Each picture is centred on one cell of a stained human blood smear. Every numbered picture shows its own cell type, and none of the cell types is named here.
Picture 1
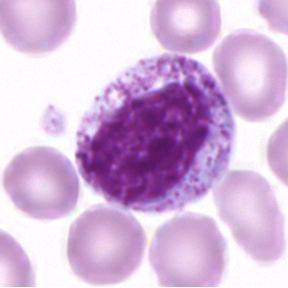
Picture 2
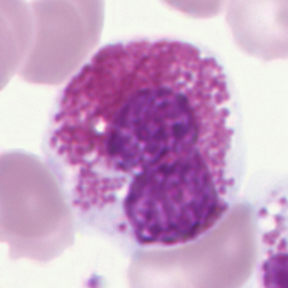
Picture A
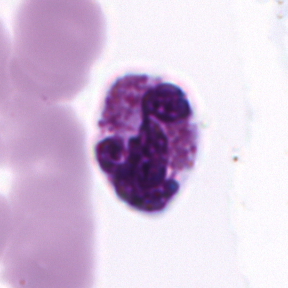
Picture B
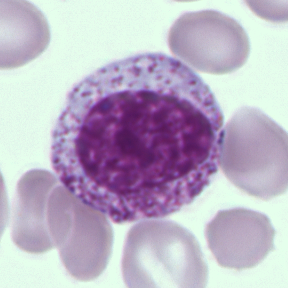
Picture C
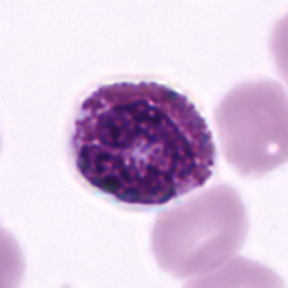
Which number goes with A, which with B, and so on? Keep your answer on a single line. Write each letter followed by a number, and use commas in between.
A 2, B 1, C 2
